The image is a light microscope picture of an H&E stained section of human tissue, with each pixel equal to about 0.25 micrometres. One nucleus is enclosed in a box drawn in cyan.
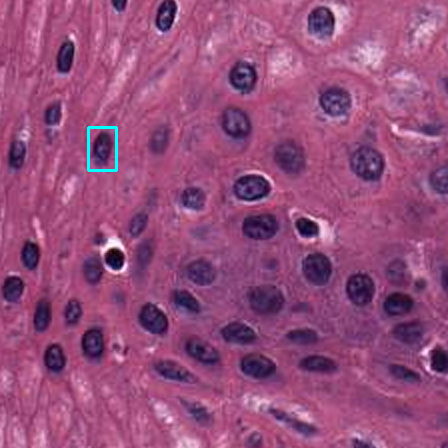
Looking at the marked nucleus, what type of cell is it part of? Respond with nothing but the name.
squamous epithelial cell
